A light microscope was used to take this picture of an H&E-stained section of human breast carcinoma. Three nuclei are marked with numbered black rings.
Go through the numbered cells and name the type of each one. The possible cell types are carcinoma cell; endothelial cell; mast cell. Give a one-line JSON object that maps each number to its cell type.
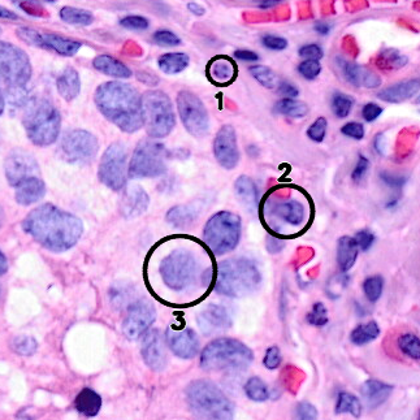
{"1": "mast cell", "2": "endothelial cell", "3": "carcinoma cell"}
